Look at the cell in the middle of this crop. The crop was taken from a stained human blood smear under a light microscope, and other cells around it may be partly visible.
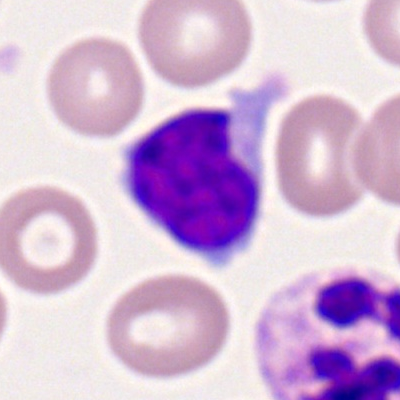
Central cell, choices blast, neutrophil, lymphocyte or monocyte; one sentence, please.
Centrally within this crop lies a lymphocyte.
